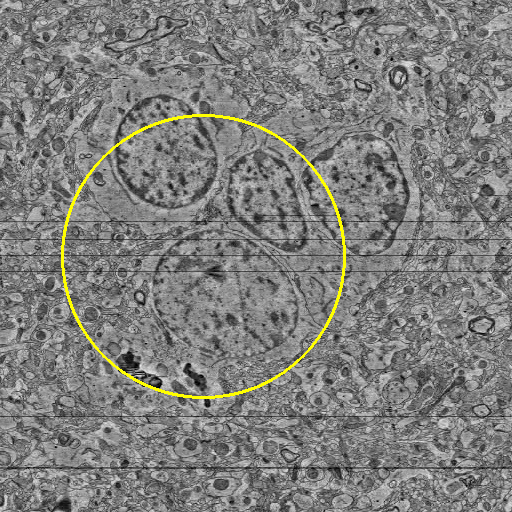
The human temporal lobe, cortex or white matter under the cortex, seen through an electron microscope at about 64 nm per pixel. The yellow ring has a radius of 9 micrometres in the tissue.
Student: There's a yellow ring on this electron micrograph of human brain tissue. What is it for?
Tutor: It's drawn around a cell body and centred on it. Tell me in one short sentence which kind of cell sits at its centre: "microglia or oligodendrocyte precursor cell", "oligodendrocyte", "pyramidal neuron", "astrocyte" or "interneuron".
The cell at the centre of the ring is an astrocyte.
